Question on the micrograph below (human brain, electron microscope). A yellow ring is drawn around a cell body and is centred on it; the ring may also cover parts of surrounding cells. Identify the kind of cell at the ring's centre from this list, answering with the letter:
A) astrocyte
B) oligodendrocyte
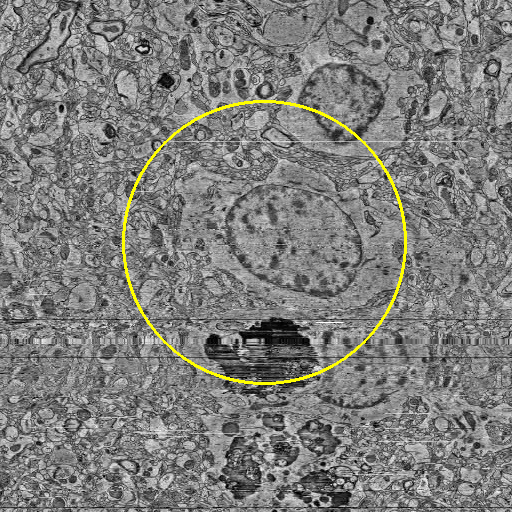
A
